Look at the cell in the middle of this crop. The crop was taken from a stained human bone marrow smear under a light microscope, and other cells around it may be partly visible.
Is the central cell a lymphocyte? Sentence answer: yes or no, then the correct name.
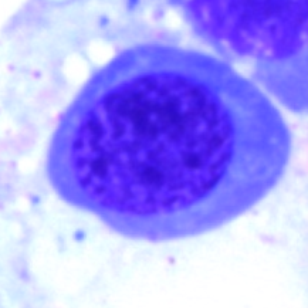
No, the cell at the center of this crop is a normoblast instead of a lymphocyte.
